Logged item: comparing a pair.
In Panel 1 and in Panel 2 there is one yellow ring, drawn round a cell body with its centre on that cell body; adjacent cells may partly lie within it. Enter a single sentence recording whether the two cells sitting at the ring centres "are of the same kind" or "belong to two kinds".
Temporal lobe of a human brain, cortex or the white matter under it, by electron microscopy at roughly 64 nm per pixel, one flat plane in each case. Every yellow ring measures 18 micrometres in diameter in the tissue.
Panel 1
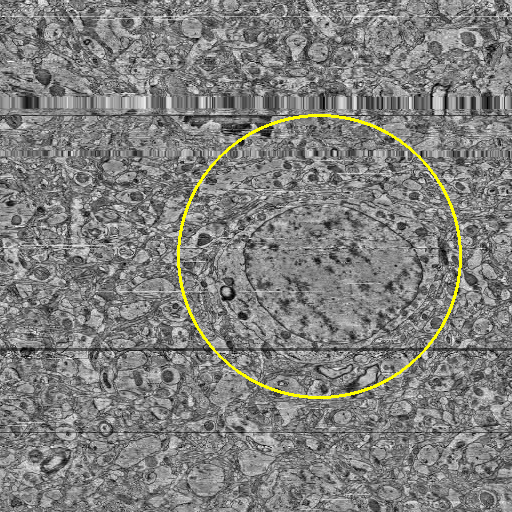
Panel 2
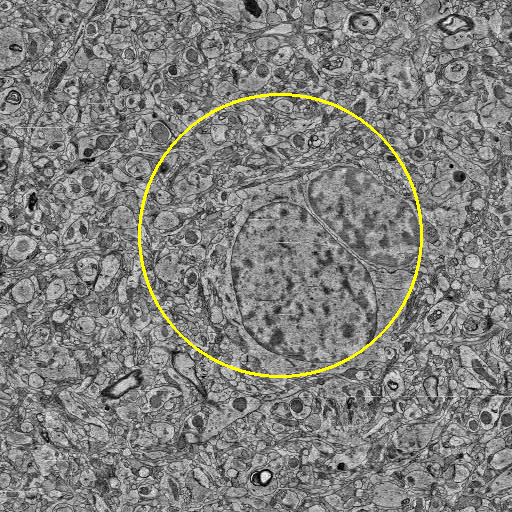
Logged: the cells centred in the rings of Panel 1 and Panel 2 belong to two kinds.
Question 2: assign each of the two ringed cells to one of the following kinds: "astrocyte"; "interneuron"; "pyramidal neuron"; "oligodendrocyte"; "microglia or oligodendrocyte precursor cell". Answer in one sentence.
The two cells are a pyramidal neuron in the first picture and an astrocyte in the second.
